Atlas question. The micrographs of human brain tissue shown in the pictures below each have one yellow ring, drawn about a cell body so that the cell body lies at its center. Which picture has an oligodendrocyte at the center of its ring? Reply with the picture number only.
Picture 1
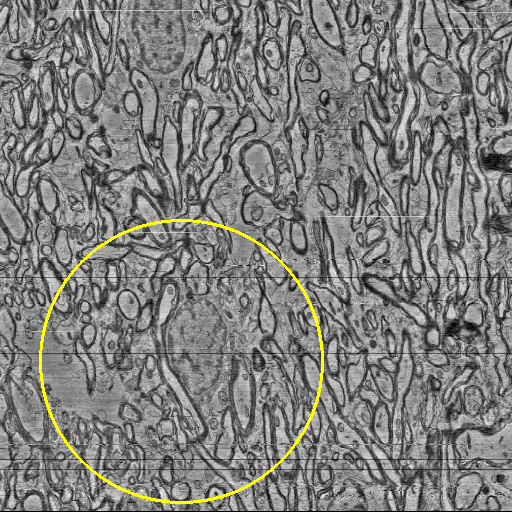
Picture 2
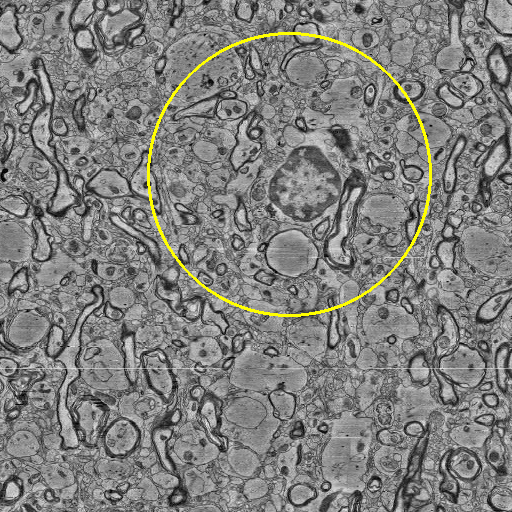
1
